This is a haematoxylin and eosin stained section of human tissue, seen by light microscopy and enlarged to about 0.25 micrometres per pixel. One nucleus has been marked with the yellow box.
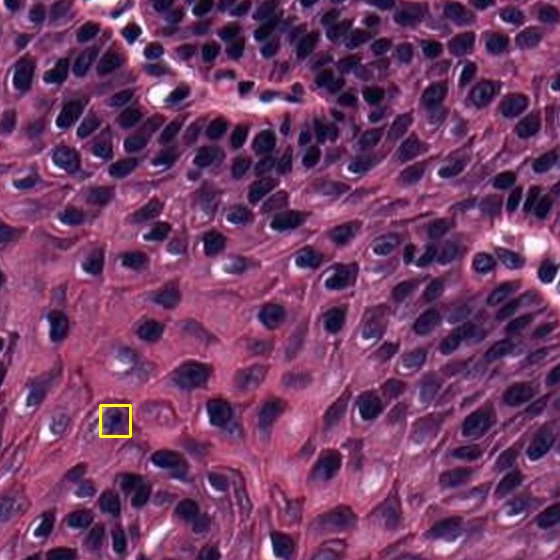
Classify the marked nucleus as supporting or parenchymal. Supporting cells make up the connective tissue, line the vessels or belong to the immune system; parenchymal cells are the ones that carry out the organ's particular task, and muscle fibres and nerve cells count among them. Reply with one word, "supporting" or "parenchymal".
parenchymal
